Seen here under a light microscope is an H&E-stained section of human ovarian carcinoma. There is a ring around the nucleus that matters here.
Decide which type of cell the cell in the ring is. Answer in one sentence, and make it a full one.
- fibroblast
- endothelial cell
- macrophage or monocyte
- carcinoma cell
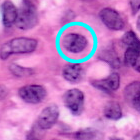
The category to which the cell in the ring belongs is that of a macrophage or monocyte.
